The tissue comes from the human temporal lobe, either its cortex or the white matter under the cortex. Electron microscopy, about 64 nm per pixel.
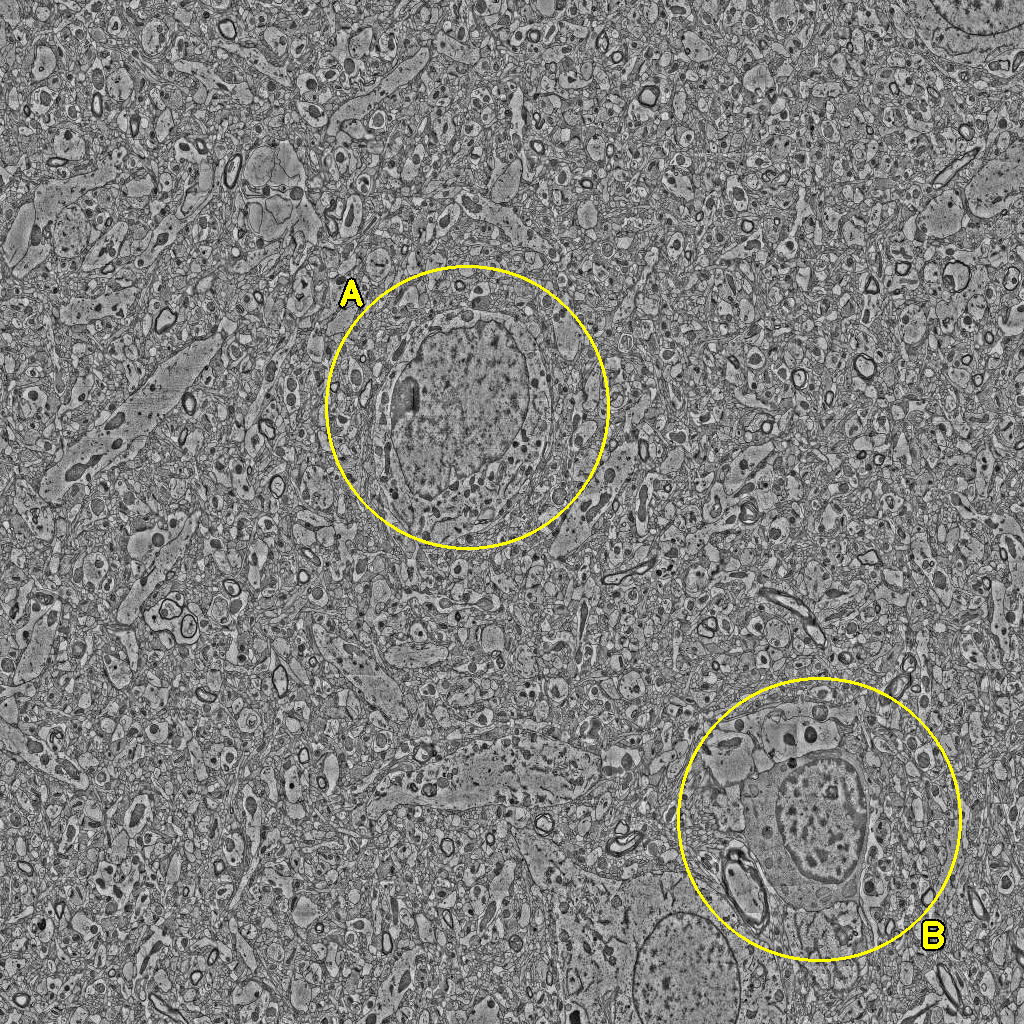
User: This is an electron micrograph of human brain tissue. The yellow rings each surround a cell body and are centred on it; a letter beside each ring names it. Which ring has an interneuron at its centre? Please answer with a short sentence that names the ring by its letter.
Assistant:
Ring A has it at its centre.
